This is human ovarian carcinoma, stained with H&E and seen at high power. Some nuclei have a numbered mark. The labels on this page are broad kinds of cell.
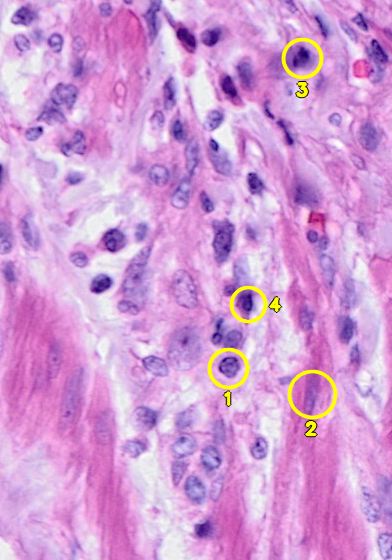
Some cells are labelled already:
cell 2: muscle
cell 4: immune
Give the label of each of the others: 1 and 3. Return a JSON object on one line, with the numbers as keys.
{"1": "immune", "3": "immune"}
